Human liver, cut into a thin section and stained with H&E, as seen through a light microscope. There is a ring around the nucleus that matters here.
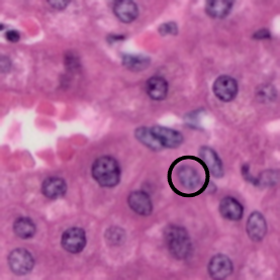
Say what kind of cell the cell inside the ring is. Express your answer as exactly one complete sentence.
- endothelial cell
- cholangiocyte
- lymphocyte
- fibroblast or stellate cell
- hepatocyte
On this particular slide, the cell inside the ring is a cholangiocyte.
